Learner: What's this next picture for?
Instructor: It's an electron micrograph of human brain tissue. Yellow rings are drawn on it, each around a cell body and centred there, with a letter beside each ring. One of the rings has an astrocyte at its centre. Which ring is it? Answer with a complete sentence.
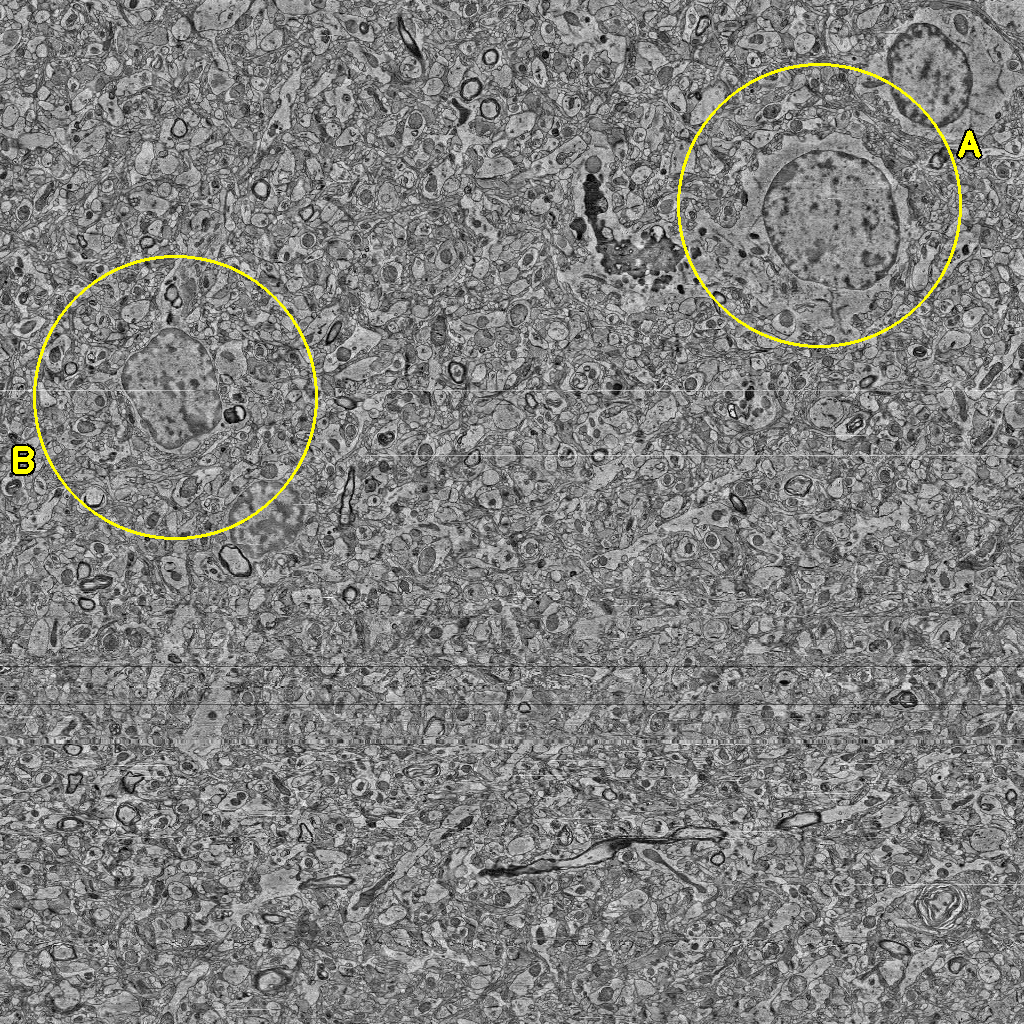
Ring A is centred on it.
